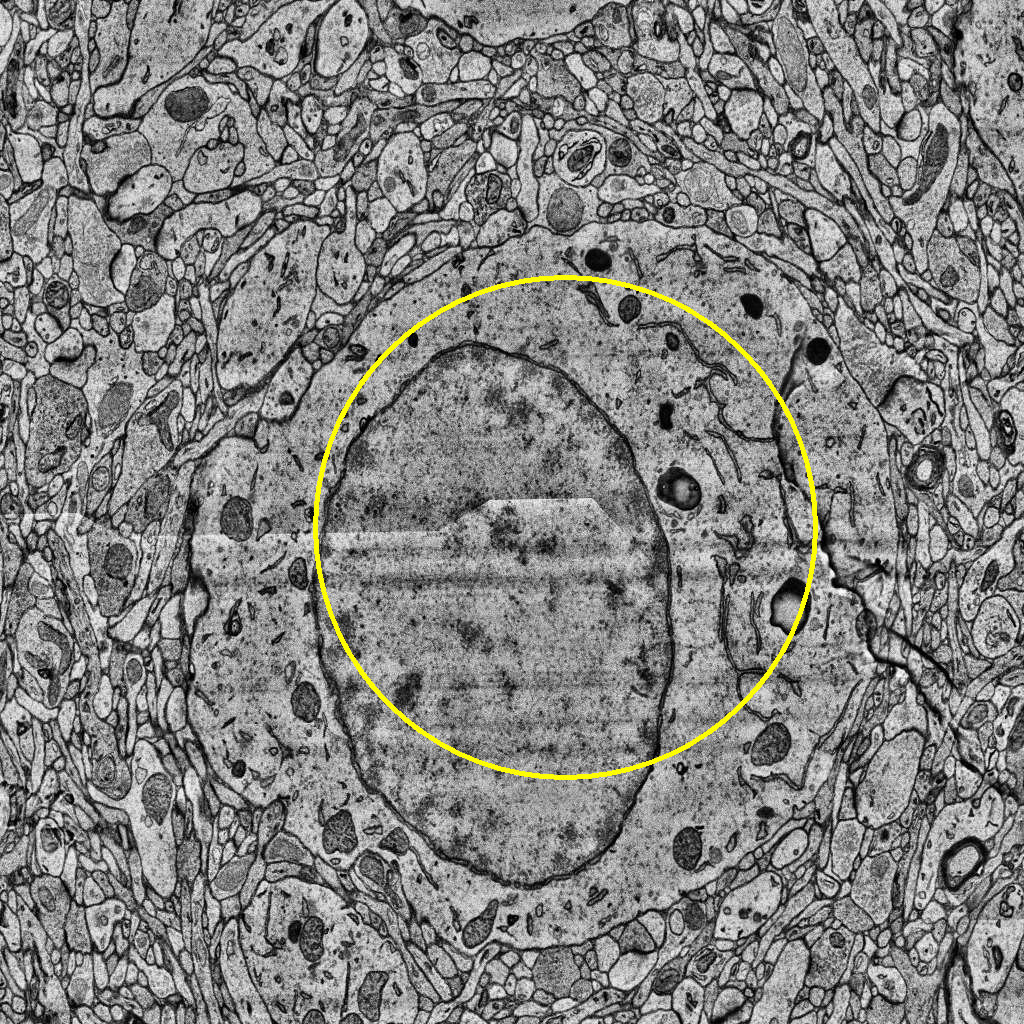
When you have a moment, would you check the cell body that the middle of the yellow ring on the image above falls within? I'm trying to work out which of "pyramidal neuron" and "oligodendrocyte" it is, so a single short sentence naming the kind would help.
This cell body belongs to a pyramidal neuron.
